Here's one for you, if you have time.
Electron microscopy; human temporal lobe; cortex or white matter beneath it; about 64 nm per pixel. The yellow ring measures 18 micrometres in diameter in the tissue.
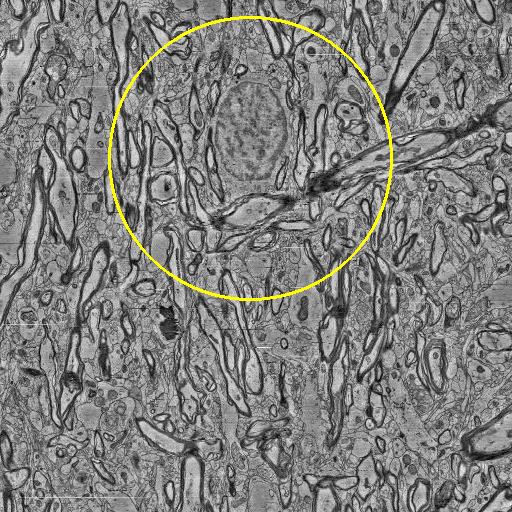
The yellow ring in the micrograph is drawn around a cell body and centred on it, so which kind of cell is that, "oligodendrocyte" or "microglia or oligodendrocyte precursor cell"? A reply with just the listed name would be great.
oligodendrocyte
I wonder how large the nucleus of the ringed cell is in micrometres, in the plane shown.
About 7 by 5 micrometres in this plane.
